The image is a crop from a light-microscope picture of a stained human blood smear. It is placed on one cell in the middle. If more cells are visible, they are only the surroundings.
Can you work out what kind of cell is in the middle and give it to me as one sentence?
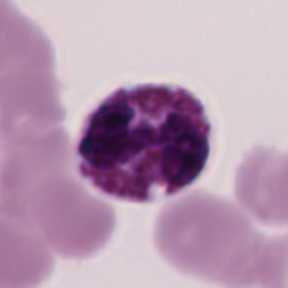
The cell nearest the centre of this crop is an eosinophil.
